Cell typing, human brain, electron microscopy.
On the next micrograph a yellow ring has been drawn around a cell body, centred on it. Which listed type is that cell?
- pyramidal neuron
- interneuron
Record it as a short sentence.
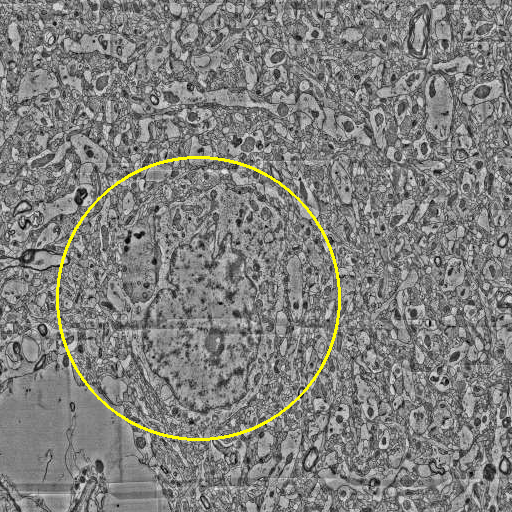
The cell body in the ring's centre belongs to an interneuron.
